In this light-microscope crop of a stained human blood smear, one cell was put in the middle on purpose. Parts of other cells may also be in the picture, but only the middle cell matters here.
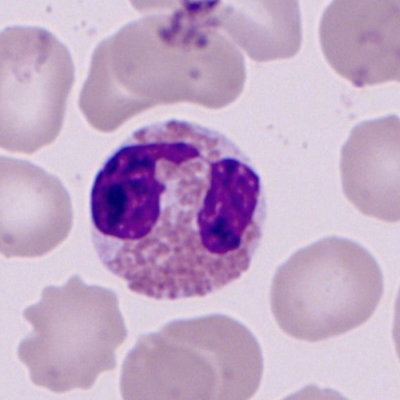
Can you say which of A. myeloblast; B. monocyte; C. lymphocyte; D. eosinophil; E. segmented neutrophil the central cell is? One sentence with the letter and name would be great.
That middle cell is an eosinophil, and option D is therefore correct.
